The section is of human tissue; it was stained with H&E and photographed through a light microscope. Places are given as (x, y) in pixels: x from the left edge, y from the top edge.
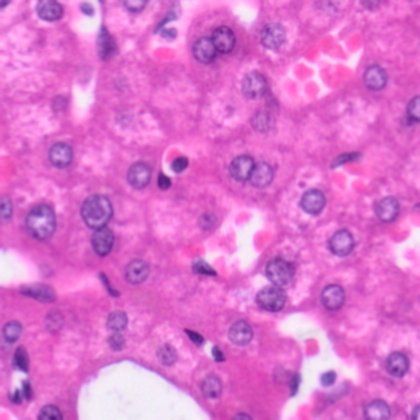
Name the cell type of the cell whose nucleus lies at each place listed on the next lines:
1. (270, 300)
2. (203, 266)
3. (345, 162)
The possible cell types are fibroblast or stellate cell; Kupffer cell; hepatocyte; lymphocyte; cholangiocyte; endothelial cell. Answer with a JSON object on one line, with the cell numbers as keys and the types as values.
{"1": "hepatocyte", "2": "endothelial cell", "3": "endothelial cell"}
